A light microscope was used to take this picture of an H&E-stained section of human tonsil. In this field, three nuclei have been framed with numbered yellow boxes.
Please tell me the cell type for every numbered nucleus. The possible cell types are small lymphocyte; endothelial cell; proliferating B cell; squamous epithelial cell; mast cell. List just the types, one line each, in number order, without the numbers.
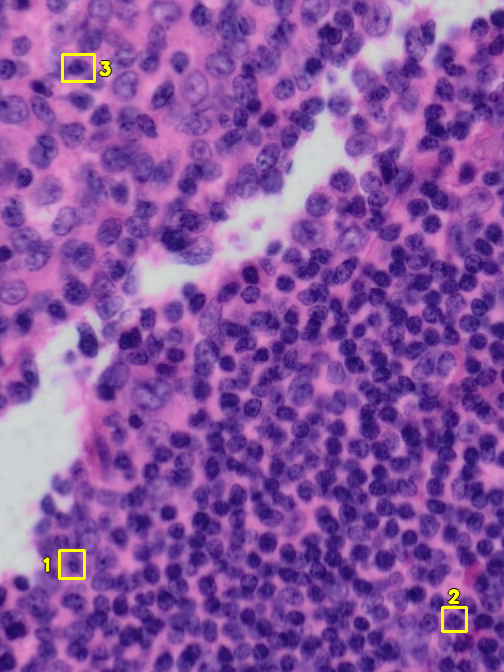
proliferating B cell
small lymphocyte
proliferating B cell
